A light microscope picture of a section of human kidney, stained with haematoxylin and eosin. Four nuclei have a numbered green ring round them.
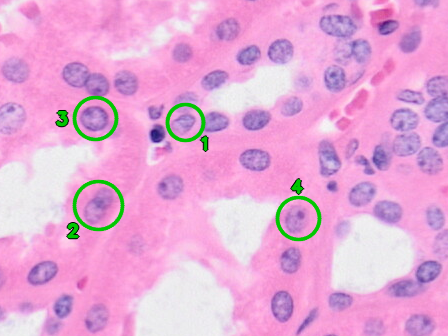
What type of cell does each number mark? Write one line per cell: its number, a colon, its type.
1: collecting duct cell
2: proximal tubule cell
3: proximal tubule cell
4: proximal tubule cell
